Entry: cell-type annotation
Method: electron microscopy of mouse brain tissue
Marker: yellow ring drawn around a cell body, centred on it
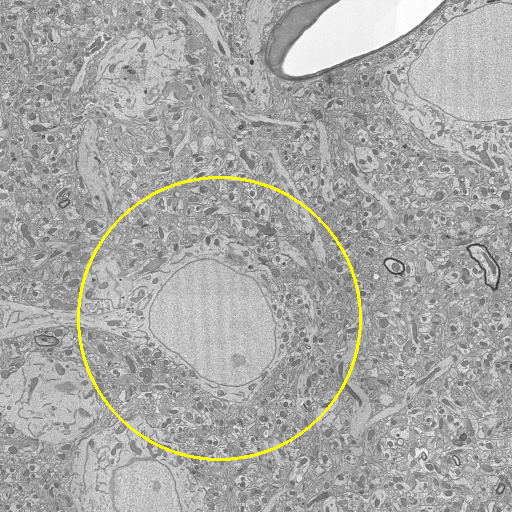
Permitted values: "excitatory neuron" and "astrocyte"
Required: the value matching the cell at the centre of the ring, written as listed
excitatory neuron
